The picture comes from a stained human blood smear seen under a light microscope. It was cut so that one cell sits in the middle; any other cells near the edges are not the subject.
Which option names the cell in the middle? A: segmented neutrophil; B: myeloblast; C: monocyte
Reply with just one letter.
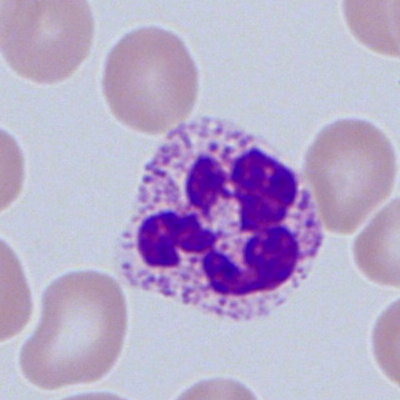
A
